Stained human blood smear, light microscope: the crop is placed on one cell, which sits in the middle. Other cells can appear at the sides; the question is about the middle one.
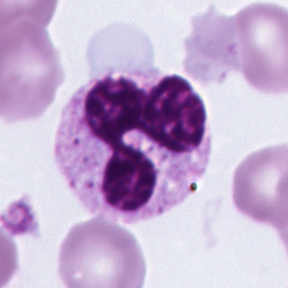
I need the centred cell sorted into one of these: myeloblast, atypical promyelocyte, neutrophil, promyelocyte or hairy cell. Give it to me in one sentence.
For this crop, the central cell is a neutrophil.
